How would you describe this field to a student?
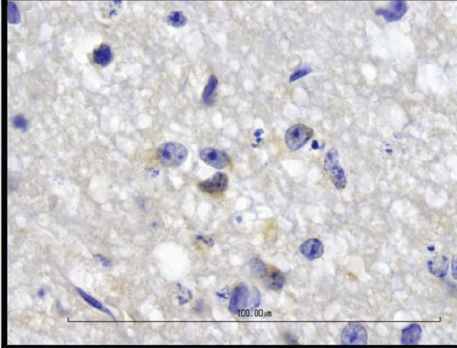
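Scattered cells show blue nuclei, some dark and irregular, with faint to moderate brown granular staining in the cytoplasm around them. A few elongated, dark nuclei are also present among the vacuolated background.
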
